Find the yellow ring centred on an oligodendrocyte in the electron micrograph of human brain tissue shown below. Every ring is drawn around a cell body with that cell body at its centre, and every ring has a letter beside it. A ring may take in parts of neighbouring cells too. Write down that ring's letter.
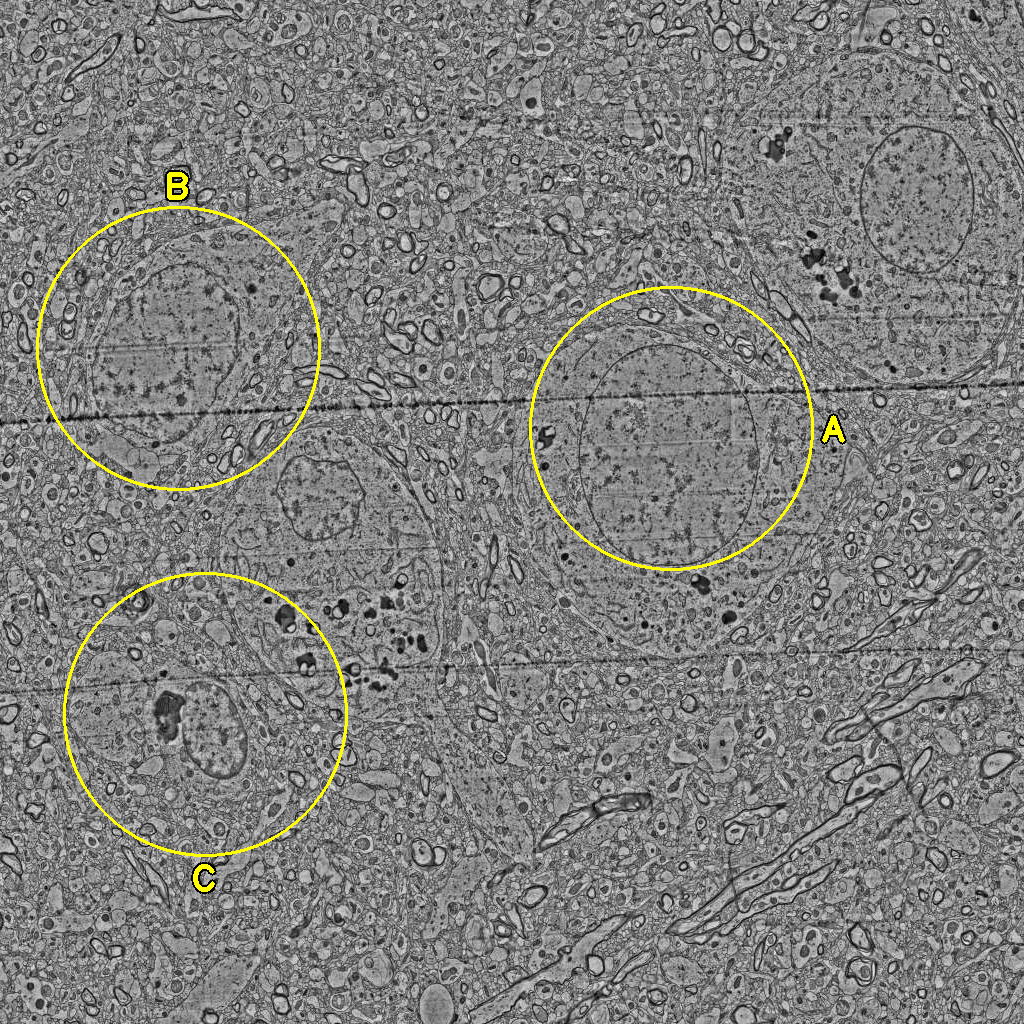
C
